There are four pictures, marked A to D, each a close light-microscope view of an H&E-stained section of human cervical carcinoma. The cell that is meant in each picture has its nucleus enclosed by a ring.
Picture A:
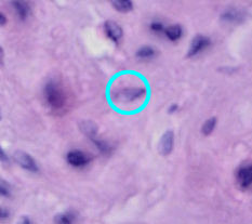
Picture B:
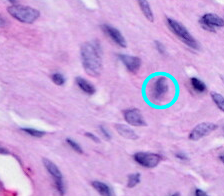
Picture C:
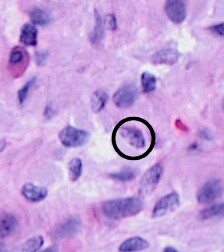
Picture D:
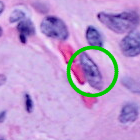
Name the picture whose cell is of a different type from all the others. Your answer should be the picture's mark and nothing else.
D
